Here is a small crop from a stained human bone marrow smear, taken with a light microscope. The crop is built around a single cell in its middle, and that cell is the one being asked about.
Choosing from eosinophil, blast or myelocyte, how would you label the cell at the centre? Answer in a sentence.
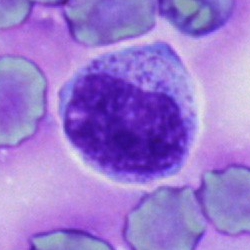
By type, the central cell of the crop is a myelocyte.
